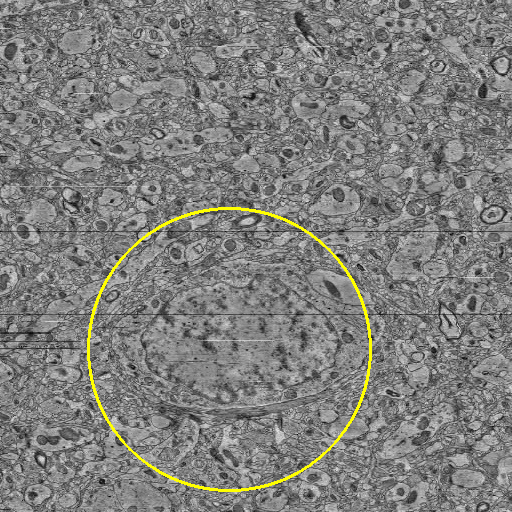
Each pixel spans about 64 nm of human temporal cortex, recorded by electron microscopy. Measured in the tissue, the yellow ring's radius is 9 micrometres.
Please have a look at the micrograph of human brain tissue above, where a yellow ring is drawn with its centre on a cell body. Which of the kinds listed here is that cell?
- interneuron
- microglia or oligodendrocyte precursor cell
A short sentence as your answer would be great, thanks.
At the centre of the ring sits an interneuron.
